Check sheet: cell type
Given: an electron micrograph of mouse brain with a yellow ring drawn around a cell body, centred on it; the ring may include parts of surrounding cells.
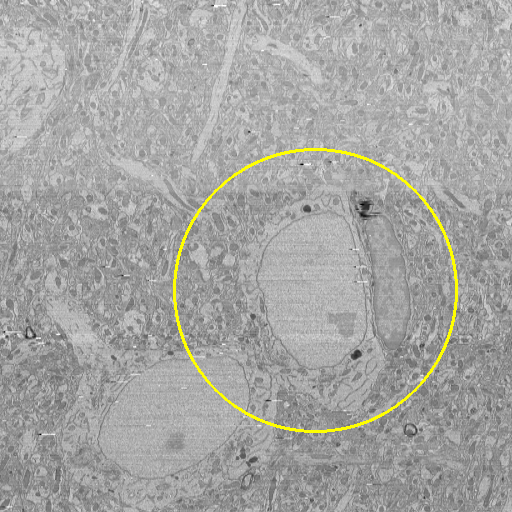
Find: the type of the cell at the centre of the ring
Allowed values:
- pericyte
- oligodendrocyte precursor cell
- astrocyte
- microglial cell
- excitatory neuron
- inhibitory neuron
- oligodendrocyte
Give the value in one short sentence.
Here the ringed cell is an excitatory neuron.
